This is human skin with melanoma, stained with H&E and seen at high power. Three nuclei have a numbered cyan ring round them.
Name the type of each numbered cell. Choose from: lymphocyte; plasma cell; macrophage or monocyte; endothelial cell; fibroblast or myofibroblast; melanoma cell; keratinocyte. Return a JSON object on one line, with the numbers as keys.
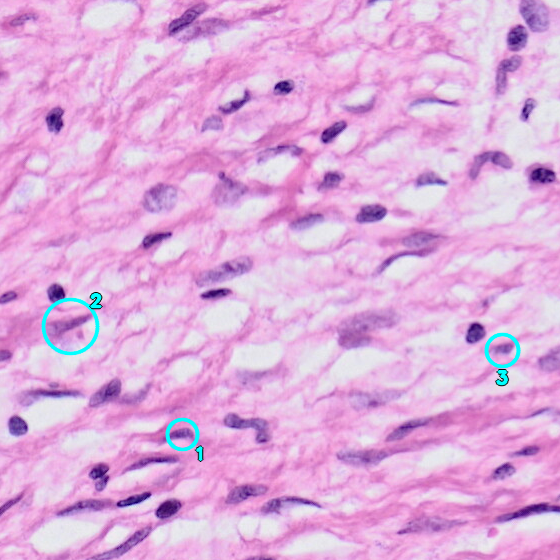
{"1": "fibroblast or myofibroblast", "2": "fibroblast or myofibroblast", "3": "macrophage or monocyte"}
